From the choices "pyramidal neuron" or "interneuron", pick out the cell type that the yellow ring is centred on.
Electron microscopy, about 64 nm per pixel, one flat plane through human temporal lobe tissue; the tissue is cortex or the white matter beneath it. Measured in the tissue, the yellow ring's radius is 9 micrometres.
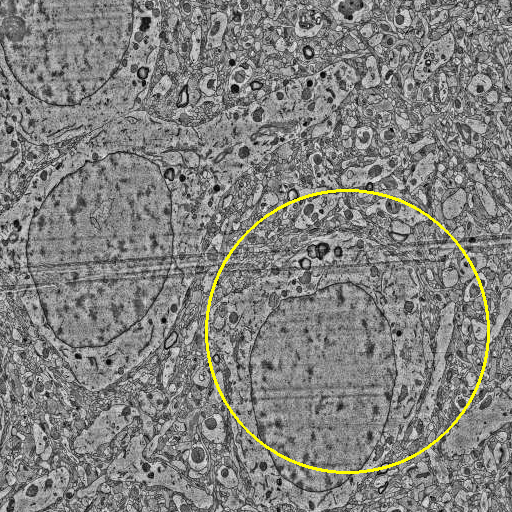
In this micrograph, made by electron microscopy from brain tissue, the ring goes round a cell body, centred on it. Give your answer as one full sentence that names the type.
The yellow ring is centred on a pyramidal neuron, whose cell body it encircles in the picture.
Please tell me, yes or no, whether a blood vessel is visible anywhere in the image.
No, there is no blood vessel in the image.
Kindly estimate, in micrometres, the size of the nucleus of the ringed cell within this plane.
In this plane, the nucleus of the cell at the centre of the ring measures about 14 by 10 micrometres.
